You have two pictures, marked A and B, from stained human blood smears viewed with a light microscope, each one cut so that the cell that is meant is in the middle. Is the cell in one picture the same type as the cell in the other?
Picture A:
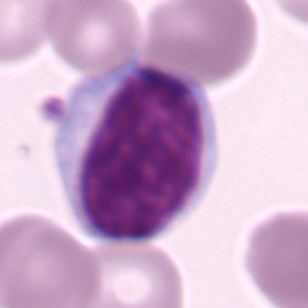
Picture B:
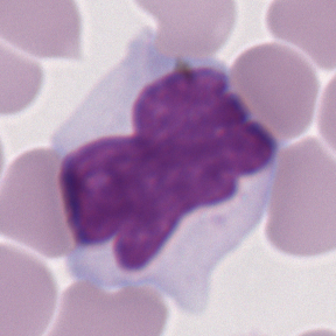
no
